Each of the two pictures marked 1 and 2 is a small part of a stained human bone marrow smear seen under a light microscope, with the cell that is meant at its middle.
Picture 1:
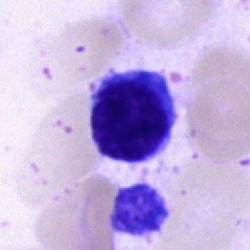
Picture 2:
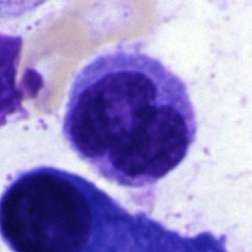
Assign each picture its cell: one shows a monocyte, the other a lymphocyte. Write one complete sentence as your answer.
Picture 1 is of a lymphocyte, and picture 2 is of a monocyte.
